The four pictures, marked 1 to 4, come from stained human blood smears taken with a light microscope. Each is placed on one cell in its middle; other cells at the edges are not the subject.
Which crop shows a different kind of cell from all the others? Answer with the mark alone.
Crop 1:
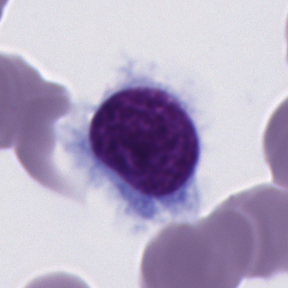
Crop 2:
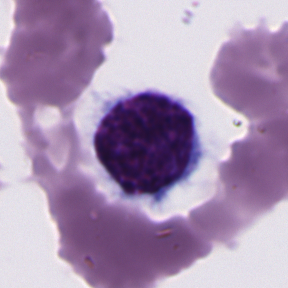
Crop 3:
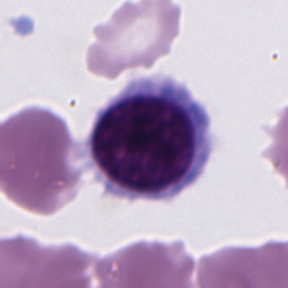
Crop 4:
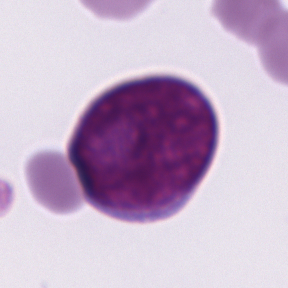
4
